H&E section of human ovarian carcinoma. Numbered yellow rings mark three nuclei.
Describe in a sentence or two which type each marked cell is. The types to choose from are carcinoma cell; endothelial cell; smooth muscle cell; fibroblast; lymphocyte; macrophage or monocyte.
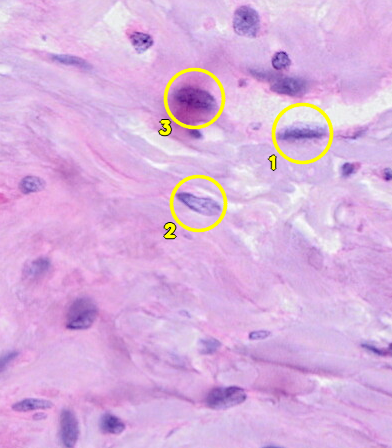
Cell 1 is an endothelial cell, cell 2 is a fibroblast and cell 3 is an endothelial cell.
